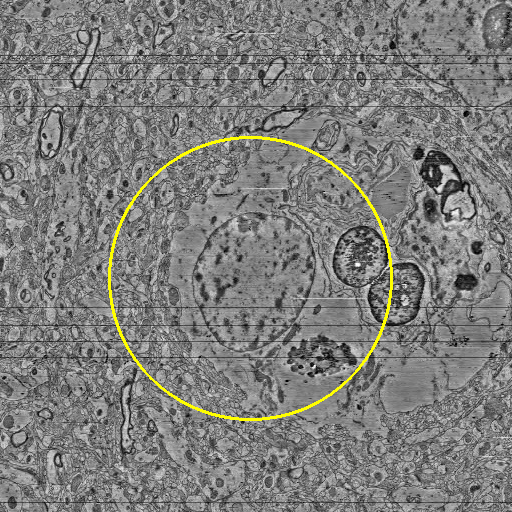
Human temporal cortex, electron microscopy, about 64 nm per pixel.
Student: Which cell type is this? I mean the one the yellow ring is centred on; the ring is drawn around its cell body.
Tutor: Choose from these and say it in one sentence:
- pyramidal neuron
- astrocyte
The cell the ring is centred on is an astrocyte.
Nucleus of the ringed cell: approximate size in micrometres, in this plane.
Roughly 9 by 7 micrometres is the size of the nucleus in this plane.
